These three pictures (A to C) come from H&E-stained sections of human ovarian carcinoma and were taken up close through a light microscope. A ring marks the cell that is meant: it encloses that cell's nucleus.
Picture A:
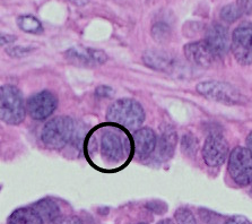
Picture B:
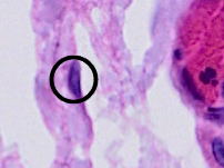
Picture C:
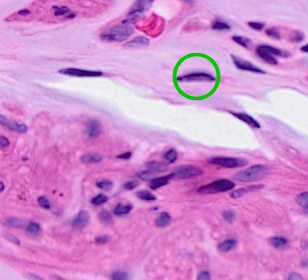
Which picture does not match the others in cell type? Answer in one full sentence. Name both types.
Picture A differs, because its cell is a carcinoma cell and the rest are fibroblasts.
